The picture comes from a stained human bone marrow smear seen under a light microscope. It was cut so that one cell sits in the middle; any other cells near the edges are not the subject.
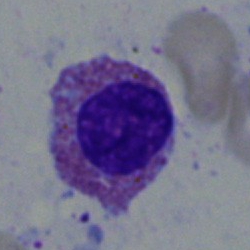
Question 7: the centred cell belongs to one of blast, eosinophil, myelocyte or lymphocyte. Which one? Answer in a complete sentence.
To answer, the cell in the center of the crop is an eosinophil.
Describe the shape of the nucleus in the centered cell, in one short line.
The nucleus holds together as a single compact mass, round, oval or kidney-like.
